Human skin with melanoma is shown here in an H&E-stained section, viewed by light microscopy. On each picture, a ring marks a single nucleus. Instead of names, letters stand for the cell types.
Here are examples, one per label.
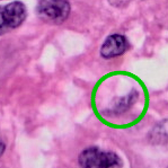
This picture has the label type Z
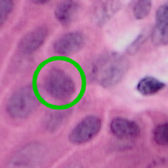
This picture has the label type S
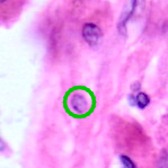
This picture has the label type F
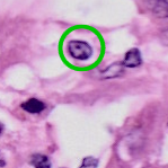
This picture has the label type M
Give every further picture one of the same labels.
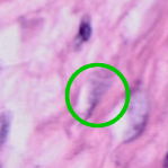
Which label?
type Z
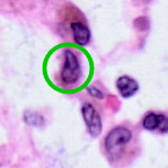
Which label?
type F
